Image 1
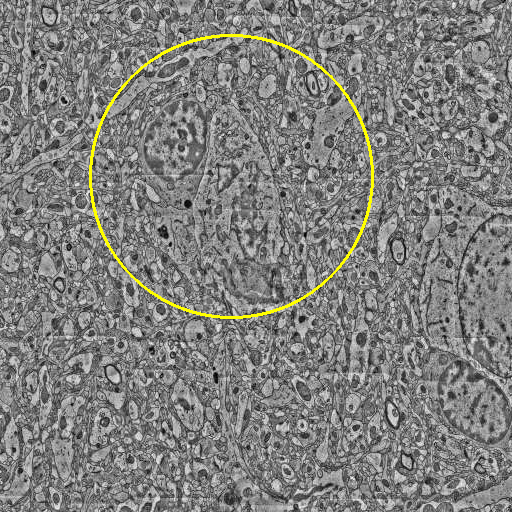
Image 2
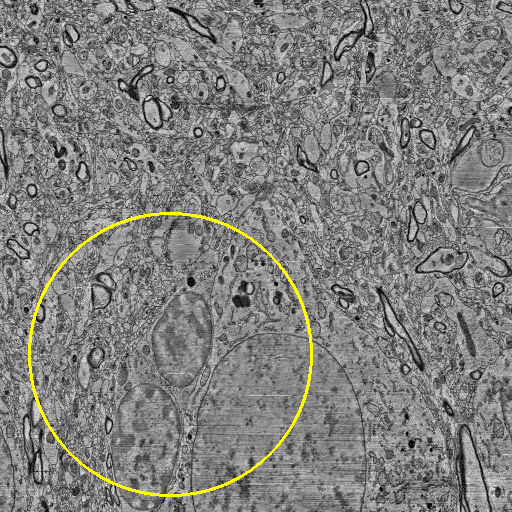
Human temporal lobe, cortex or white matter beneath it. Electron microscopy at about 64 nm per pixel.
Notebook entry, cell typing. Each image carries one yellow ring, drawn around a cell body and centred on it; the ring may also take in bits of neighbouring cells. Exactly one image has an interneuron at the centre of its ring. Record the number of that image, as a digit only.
1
